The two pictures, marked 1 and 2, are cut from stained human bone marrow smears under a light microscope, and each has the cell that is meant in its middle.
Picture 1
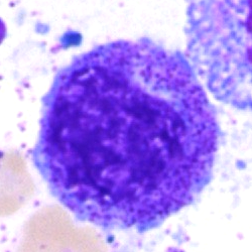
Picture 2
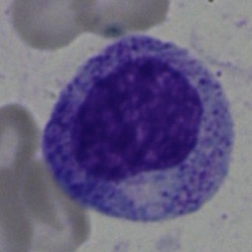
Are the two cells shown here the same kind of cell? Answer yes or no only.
yes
